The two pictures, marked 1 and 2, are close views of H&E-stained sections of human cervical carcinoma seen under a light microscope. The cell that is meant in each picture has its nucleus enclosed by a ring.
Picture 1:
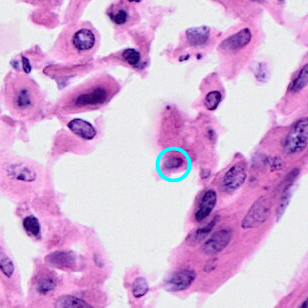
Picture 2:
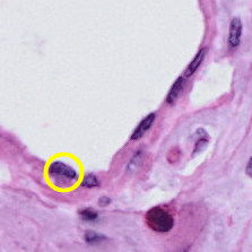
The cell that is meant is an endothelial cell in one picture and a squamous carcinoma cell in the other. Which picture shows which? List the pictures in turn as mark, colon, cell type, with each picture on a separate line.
1: squamous carcinoma cell
2: endothelial cell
